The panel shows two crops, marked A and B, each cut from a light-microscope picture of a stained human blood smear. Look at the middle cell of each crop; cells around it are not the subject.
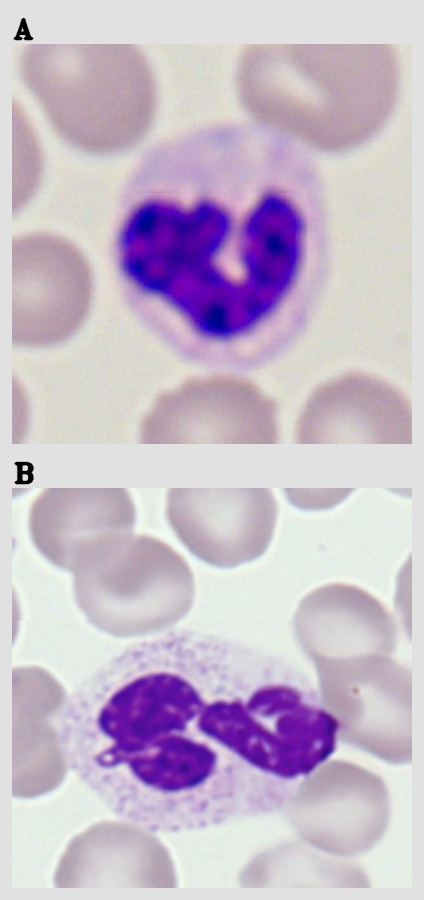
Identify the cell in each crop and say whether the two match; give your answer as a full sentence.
Yes, both crops show segmented neutrophils in the centre of the field.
